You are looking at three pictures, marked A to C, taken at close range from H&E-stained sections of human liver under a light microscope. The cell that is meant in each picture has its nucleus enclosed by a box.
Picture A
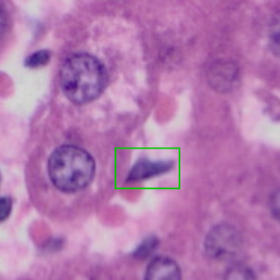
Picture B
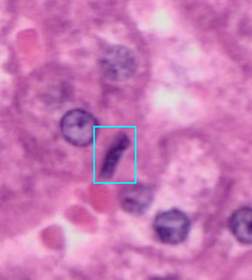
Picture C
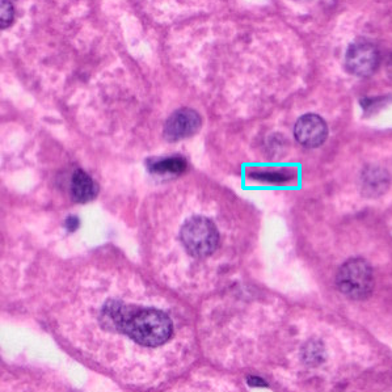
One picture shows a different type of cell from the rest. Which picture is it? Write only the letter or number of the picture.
A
